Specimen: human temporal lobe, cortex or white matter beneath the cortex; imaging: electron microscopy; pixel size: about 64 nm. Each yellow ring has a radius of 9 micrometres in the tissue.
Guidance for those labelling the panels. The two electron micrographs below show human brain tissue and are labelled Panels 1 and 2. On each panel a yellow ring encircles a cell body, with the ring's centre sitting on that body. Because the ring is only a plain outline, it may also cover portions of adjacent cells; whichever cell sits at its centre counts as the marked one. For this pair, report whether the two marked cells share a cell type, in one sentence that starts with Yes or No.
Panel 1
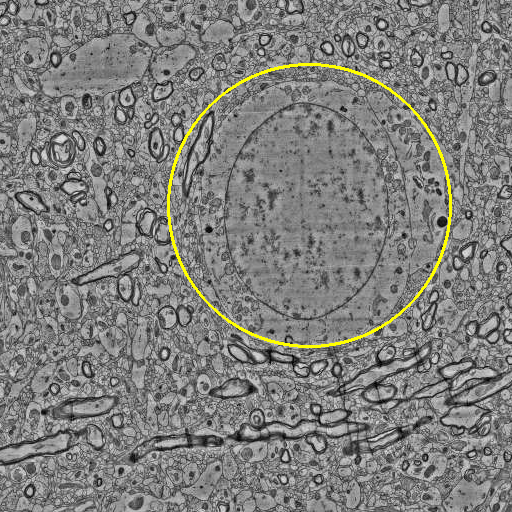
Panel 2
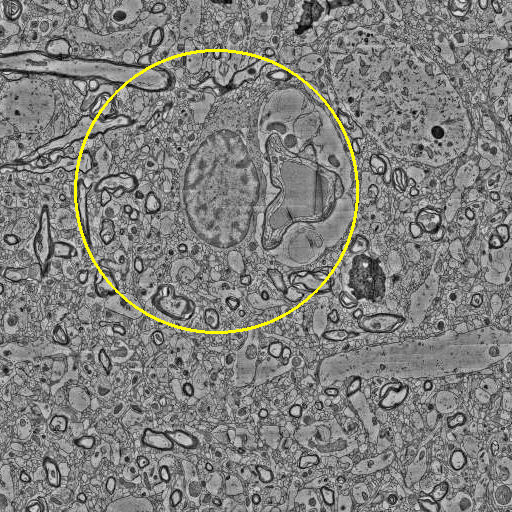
No, in Panel 1 and Panel 2 the marked cells at the ring centres are of two types.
